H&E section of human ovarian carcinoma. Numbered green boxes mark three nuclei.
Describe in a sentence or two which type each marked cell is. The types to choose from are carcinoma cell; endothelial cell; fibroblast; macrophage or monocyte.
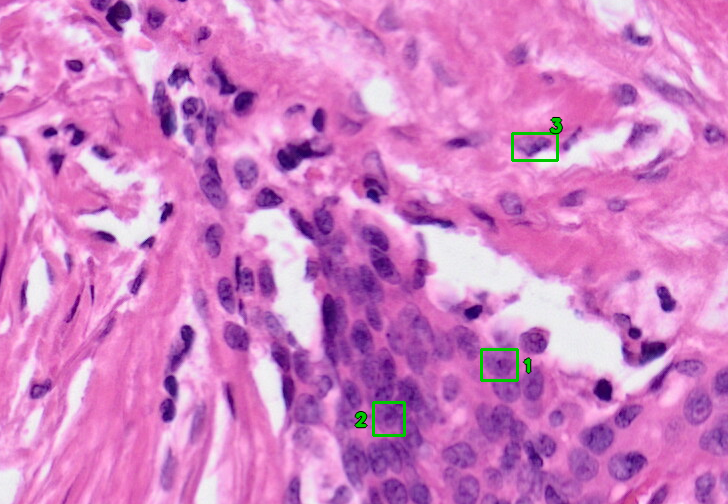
Cells 1 and 2 are carcinoma cells. Cell 3 is a fibroblast.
